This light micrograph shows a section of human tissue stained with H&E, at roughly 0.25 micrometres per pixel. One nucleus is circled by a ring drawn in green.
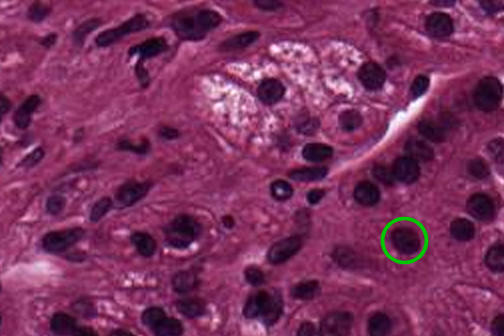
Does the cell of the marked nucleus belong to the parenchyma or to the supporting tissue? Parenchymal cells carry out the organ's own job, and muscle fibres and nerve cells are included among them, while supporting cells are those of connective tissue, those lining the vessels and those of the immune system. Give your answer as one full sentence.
The owner of the marked nucleus is a parenchymal cell, namely an adrenal cortical cell.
